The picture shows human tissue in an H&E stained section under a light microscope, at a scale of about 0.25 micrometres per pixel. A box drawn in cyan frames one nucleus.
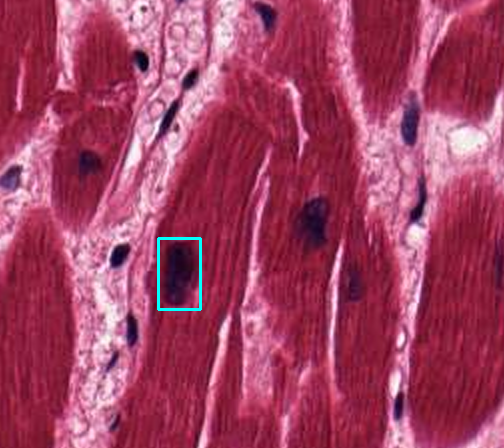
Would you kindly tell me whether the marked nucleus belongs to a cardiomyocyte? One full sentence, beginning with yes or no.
Yes, the marked nucleus is in a cardiomyocyte.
